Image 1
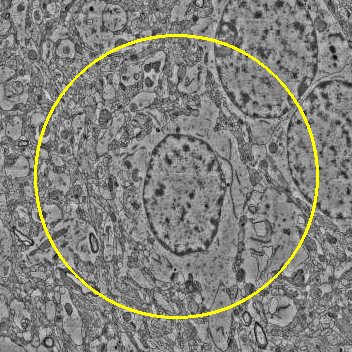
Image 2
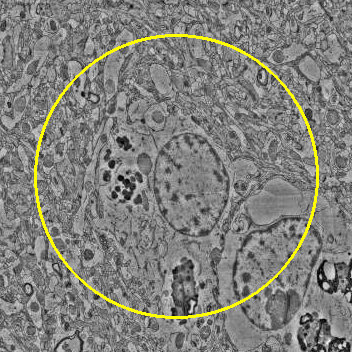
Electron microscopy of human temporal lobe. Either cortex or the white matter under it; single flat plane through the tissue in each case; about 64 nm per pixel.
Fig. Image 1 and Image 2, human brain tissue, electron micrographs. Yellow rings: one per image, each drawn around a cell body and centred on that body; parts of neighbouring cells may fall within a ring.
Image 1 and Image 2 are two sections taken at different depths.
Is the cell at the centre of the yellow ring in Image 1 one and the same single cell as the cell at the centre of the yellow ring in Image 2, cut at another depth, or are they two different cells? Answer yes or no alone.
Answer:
no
